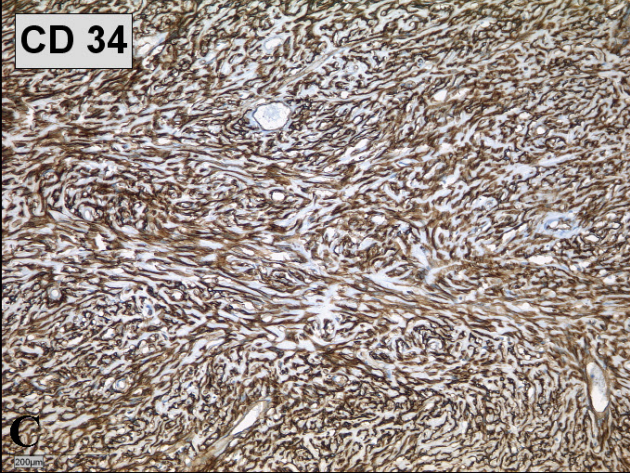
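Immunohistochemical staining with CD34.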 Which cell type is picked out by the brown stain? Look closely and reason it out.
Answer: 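Brown stain outlines densely packed elongated cells throughout the field. Pale blue collagen lies between stained cells. So: Spindle-shaped tumor cells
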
